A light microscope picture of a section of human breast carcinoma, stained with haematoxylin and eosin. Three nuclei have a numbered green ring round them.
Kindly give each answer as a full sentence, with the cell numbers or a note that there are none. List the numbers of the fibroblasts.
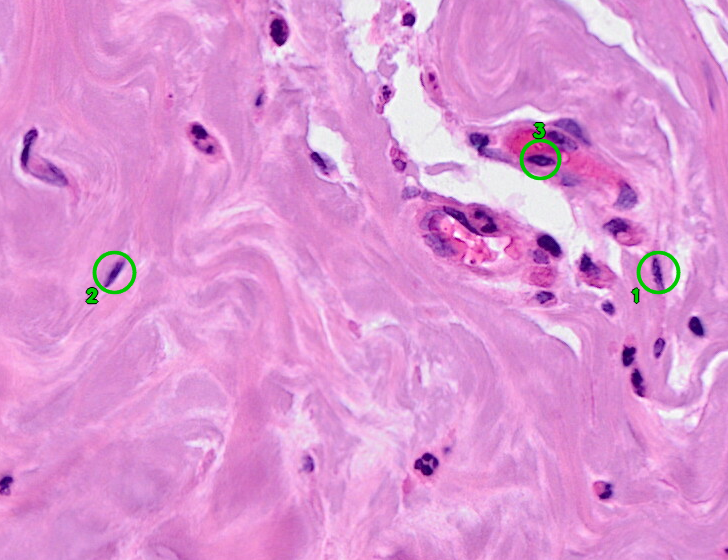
In this section, the cells numbered 1 and 2 are fibroblasts.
